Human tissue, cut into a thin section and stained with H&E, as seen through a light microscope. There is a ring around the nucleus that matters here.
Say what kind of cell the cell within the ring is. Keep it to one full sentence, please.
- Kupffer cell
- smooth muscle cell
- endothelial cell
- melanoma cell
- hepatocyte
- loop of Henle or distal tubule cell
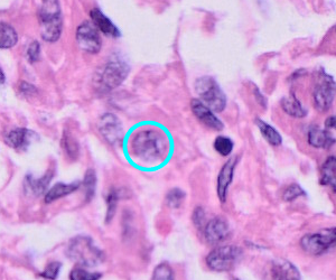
It is a melanoma cell that the cell within the ring represents.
